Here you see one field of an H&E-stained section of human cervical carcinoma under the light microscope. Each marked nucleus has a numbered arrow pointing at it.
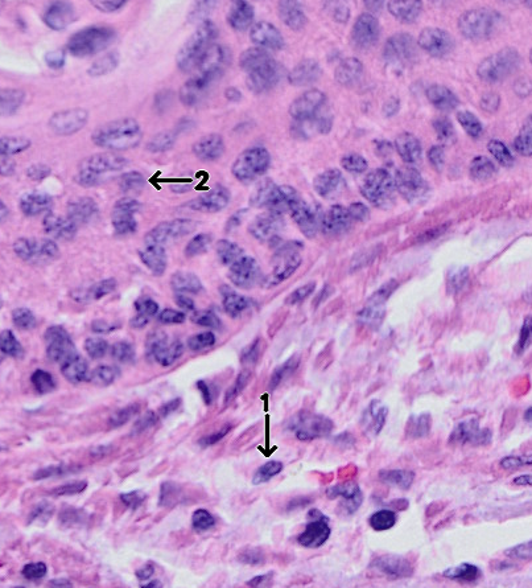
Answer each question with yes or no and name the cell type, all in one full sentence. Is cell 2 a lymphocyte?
No, cell 2 does not count as a lymphocyte; it is a squamous carcinoma cell.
